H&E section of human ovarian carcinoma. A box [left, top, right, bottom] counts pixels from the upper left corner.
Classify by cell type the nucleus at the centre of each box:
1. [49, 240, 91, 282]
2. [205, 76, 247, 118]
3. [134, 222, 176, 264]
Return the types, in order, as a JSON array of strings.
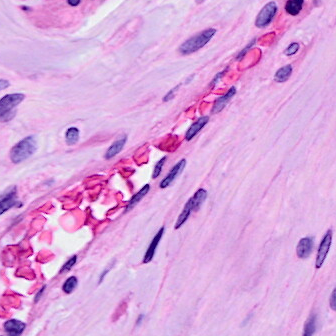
["endothelial cell", "endothelial cell", "fibroblast"]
